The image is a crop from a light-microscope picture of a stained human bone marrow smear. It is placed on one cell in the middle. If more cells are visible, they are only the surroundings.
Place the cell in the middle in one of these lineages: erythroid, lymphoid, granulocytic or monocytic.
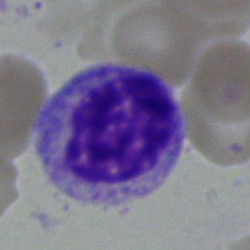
granulocytic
